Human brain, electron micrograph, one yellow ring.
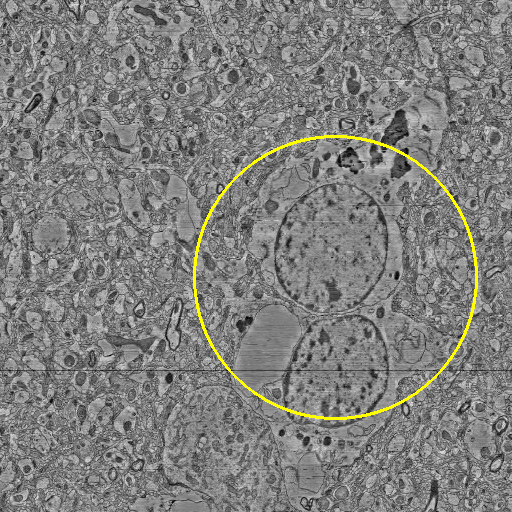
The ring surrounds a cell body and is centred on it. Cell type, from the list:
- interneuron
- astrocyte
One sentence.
The yellow ring circles an astrocyte.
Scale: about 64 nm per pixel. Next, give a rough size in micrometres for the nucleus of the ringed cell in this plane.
In this plane the nucleus measures roughly 9 by 7 micrometers.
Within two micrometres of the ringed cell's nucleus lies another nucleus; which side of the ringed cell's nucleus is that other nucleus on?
The second nucleus sits below it.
